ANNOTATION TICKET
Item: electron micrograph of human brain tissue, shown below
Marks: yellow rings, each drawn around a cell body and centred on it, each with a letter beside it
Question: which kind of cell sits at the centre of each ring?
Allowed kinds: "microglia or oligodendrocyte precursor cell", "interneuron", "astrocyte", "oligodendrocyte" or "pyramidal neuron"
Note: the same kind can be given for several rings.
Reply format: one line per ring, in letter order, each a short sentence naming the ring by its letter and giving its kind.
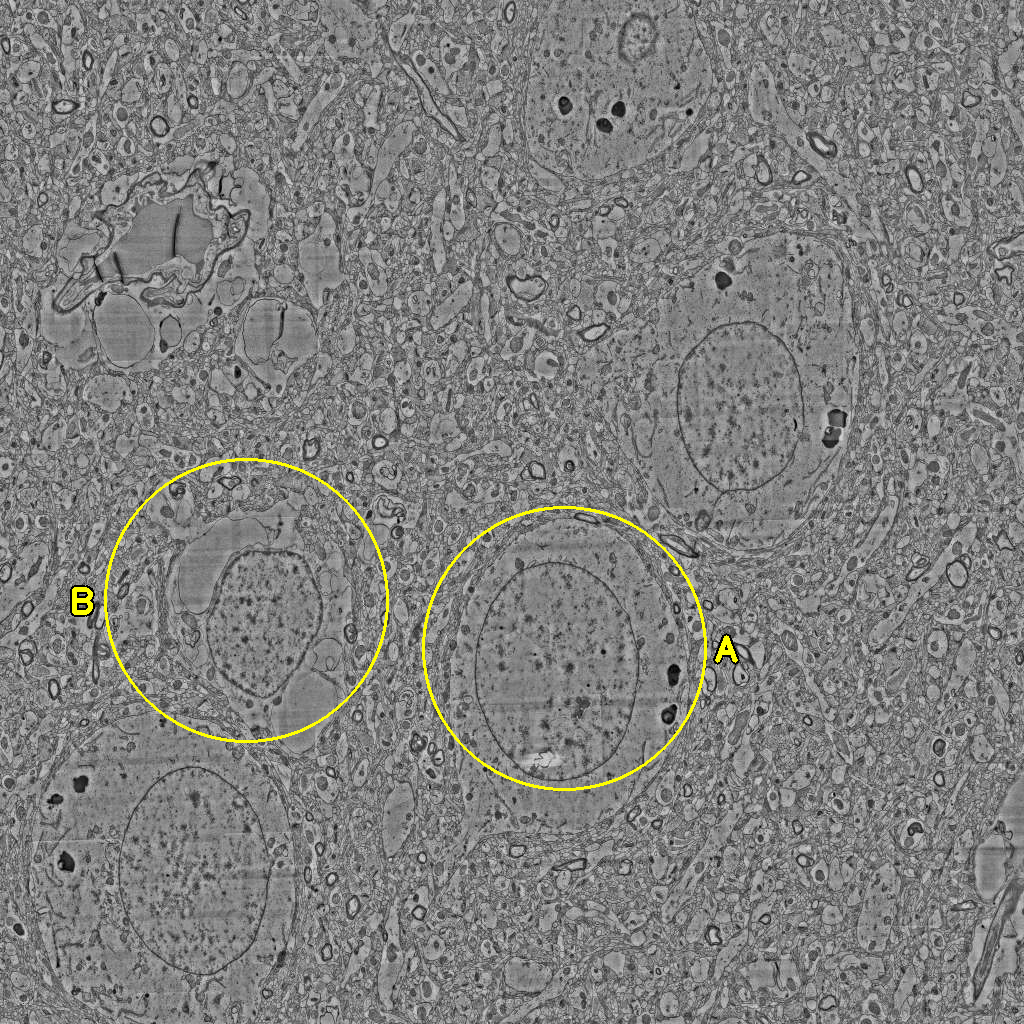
The cell at the centre of ring A is a pyramidal neuron.
The cell at the centre of ring B is an astrocyte.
